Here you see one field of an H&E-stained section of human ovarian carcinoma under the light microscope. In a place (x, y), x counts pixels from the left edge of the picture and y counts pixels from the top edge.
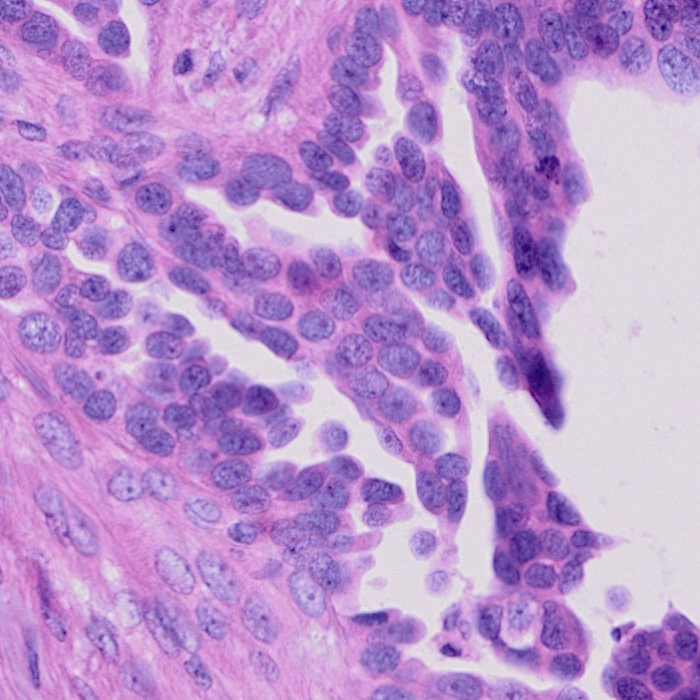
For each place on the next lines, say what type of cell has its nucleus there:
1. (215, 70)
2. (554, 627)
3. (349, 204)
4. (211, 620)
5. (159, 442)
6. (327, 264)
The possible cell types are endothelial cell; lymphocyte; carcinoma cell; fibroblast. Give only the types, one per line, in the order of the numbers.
fibroblast
carcinoma cell
carcinoma cell
fibroblast
carcinoma cell
carcinoma cell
